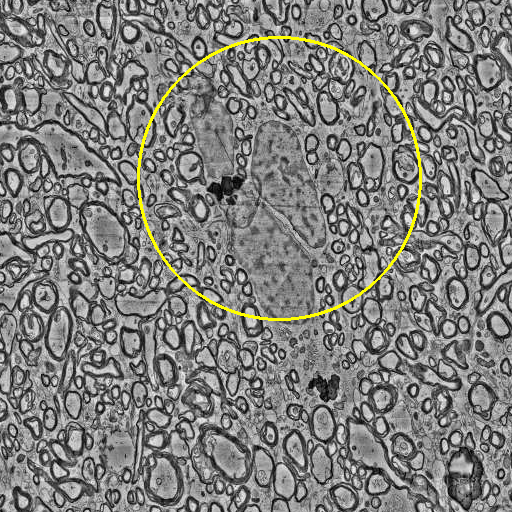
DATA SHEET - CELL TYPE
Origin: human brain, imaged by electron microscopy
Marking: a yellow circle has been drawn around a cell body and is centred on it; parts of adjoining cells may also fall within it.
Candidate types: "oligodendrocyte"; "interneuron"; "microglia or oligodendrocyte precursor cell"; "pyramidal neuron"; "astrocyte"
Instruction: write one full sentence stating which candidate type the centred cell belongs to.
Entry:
The cell body at the centre of the yellow ring in this micrograph belongs to a microglial cell or oligodendrocyte precursor cell.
